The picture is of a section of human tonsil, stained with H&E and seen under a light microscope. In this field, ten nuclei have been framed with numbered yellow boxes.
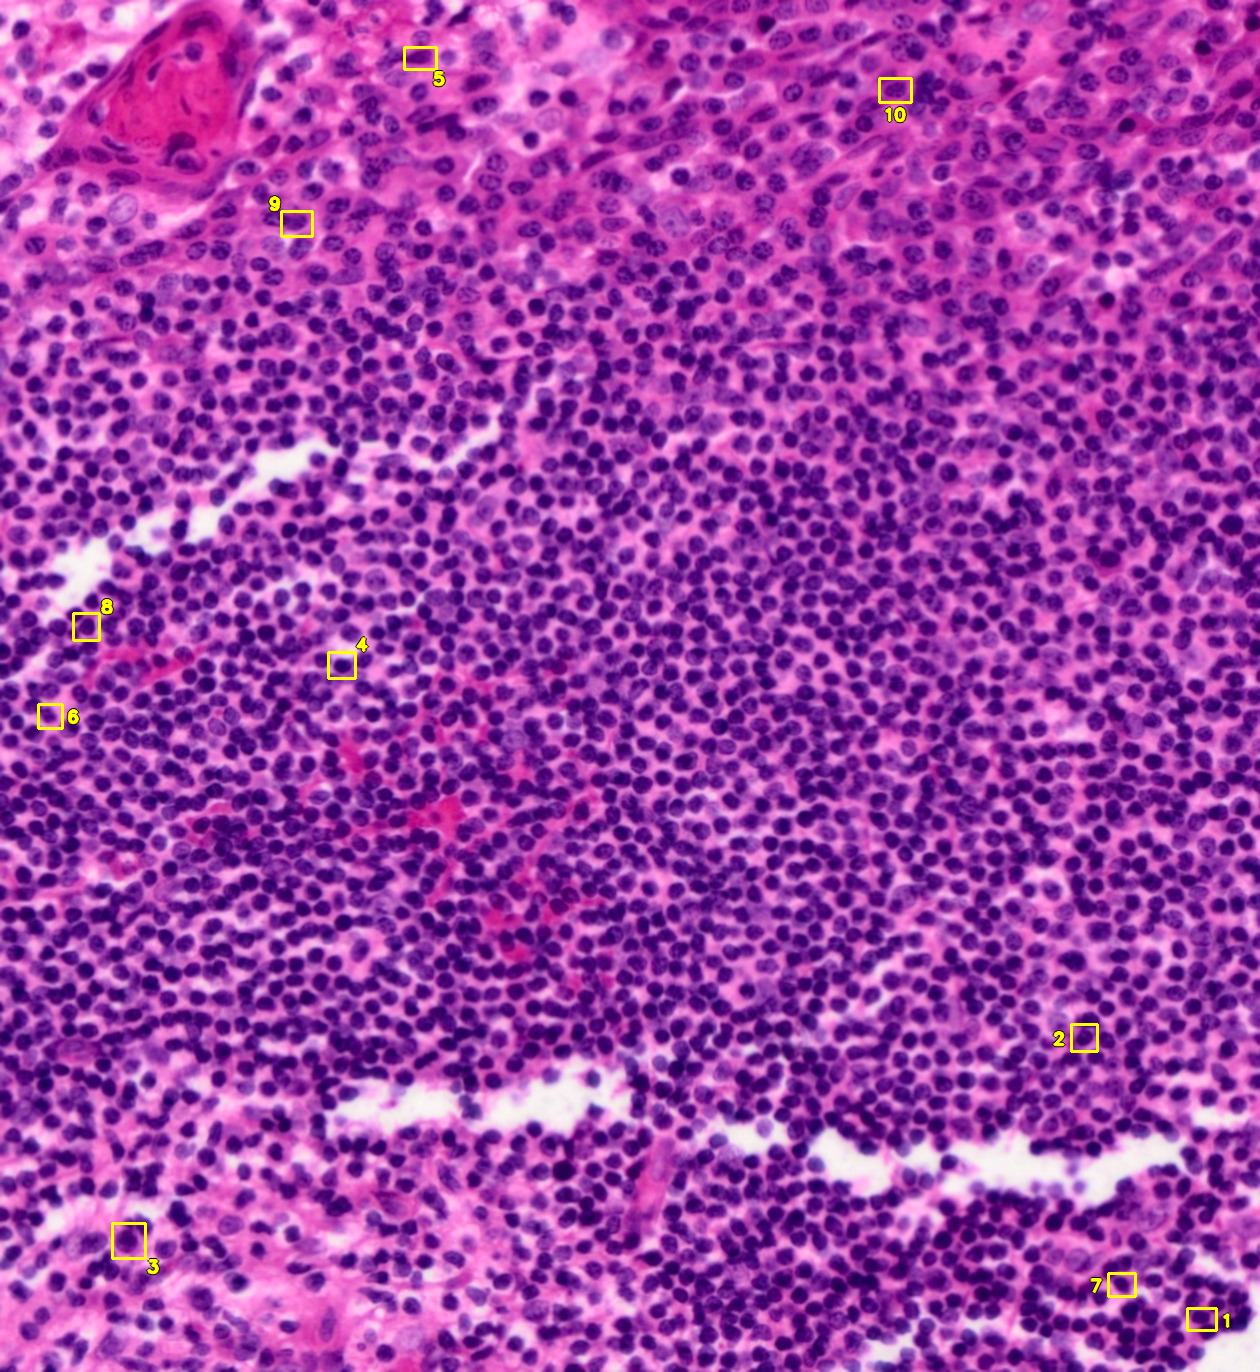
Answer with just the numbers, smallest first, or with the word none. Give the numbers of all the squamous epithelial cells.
5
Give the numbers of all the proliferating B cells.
3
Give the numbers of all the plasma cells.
9, 10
